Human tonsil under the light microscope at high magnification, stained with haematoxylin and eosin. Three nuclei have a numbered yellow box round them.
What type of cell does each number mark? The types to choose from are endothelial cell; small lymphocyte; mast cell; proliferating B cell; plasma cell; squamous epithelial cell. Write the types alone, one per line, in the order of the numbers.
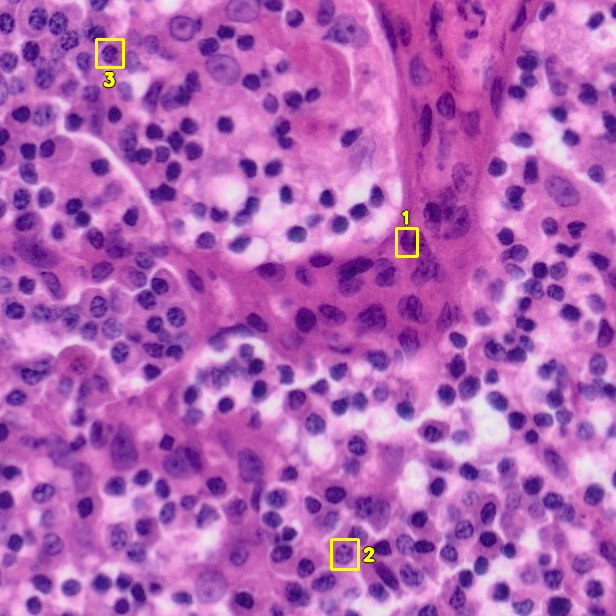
squamous epithelial cell
plasma cell
plasma cell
